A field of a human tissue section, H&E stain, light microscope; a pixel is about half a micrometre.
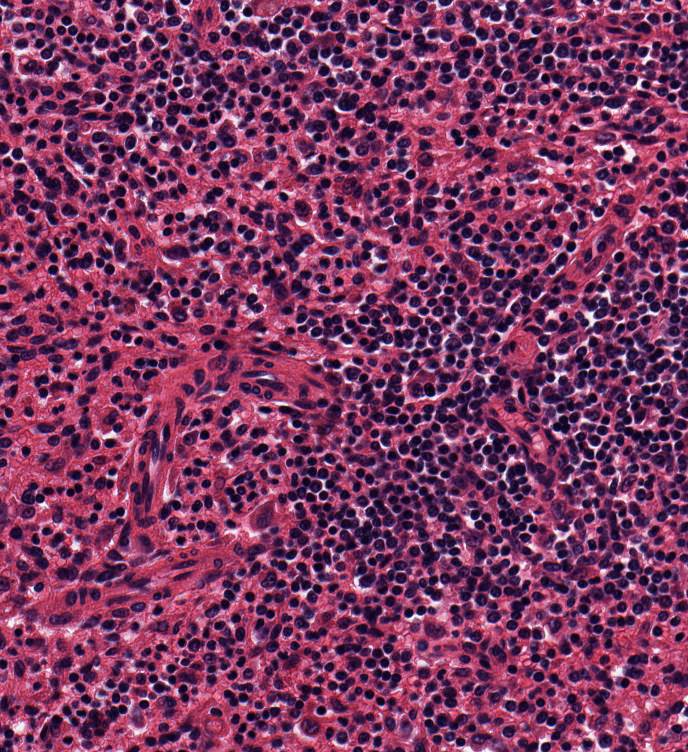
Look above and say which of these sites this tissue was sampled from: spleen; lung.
spleen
